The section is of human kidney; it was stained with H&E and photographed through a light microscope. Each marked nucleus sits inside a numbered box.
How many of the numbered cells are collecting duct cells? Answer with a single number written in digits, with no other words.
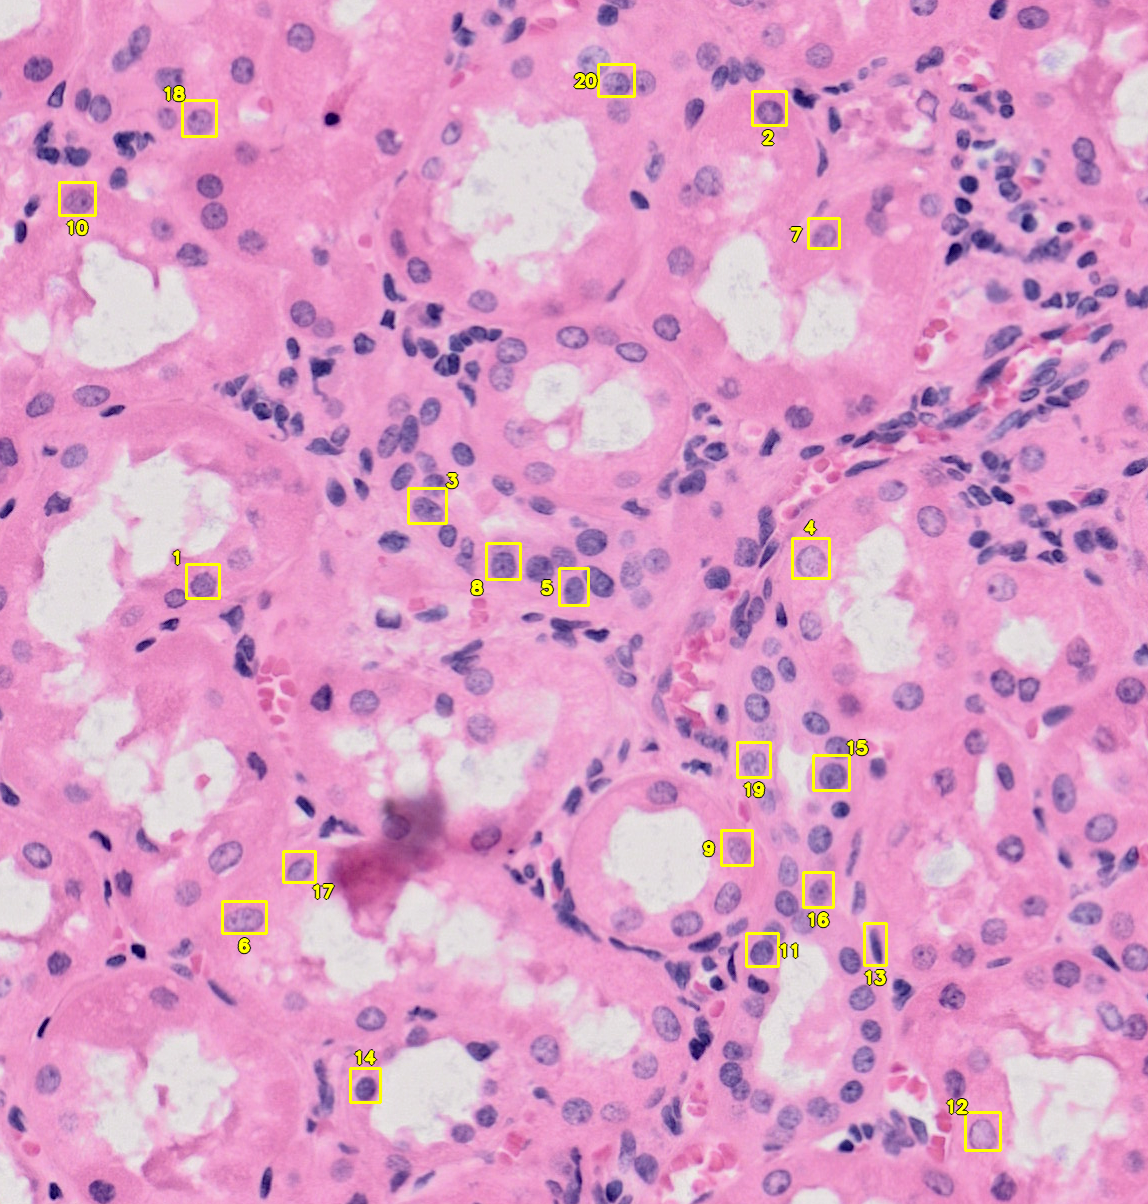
7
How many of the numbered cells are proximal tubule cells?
11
